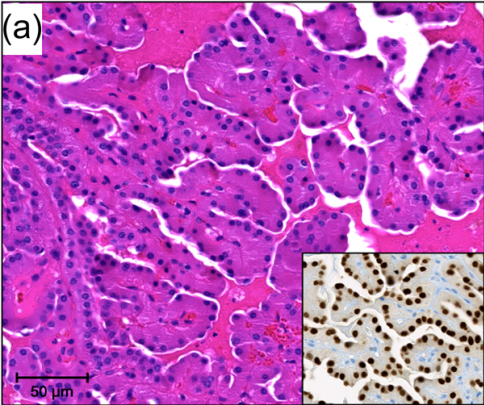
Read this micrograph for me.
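This is a papillary kidney tumor made of slender papillae lined by a single layer of cuboidal to columnar cells. The cells have abundant pink, finely granular cytoplasm. Their small, round, evenly sized nuclei lie toward the luminal surface rather than against the papillary cores, giving a reversed appearance. Pink material and some red blood cells fill the spaces between the papillae. In the inset, nearly every tumor nucleus is stained dark brown, lined up in a single row along the papillae.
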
